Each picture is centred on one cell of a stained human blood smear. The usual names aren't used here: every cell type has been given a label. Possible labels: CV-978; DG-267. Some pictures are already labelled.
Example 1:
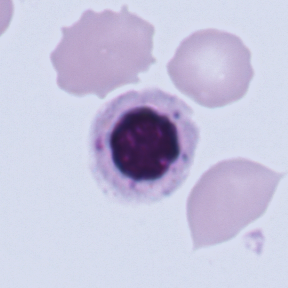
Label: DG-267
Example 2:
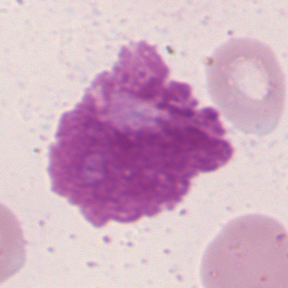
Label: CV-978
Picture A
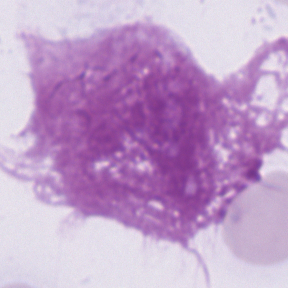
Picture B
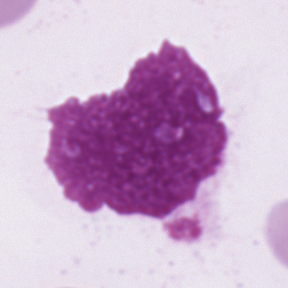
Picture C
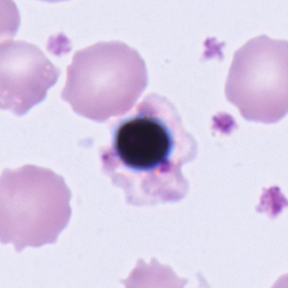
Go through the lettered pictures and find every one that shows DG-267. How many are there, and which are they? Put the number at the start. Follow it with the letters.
Count: 1 (C)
